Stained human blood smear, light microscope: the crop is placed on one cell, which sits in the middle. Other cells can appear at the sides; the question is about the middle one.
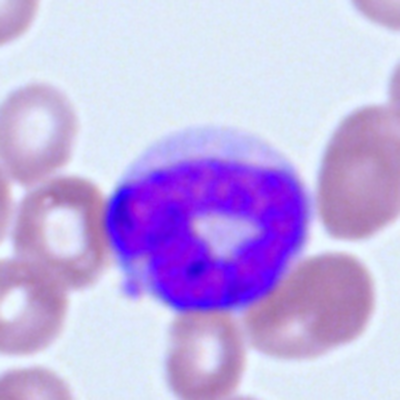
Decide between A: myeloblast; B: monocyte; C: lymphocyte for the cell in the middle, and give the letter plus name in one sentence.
The middle cell of the crop is a monocyte; accordingly, option B is correct.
